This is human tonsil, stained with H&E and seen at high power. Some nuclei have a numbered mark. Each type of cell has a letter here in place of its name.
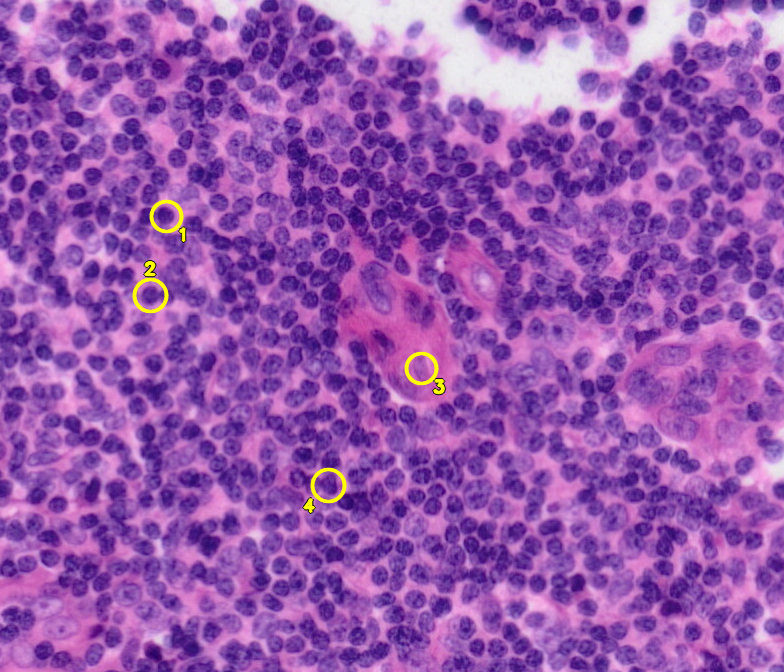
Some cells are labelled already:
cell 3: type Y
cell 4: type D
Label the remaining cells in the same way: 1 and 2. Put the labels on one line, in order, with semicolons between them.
type D; type D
